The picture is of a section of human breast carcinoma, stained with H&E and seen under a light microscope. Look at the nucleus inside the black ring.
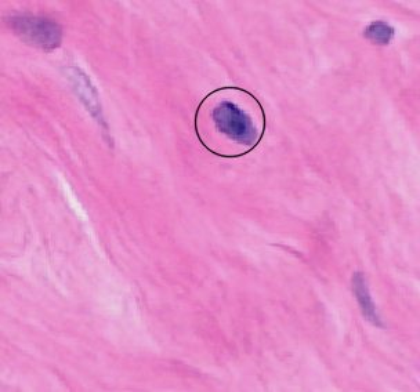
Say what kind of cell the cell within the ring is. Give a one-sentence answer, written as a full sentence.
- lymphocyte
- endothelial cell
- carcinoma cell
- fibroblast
Histopathologically, the cell within the ring is a lymphocyte.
